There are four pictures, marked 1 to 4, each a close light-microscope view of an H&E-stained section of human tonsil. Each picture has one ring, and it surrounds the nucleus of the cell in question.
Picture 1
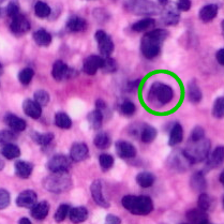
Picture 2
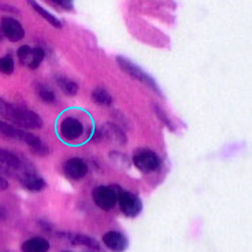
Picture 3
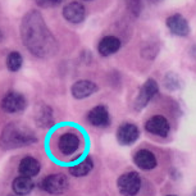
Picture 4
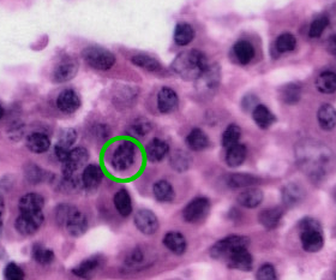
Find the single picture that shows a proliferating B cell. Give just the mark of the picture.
1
